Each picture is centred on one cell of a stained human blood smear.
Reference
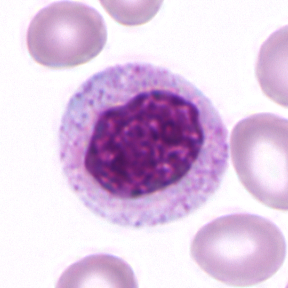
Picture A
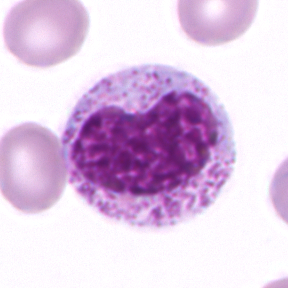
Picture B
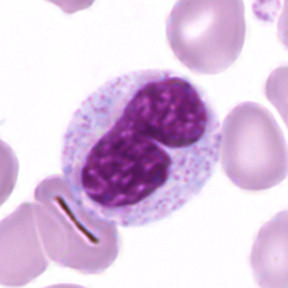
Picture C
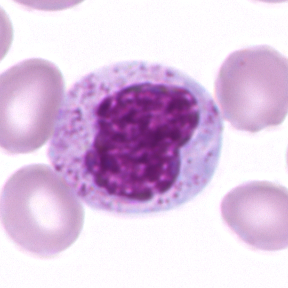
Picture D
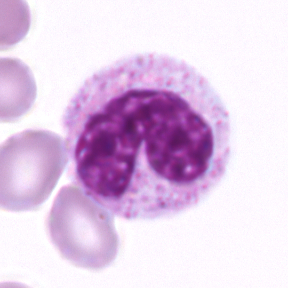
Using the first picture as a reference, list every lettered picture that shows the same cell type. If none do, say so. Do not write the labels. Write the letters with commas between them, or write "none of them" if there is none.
A, C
